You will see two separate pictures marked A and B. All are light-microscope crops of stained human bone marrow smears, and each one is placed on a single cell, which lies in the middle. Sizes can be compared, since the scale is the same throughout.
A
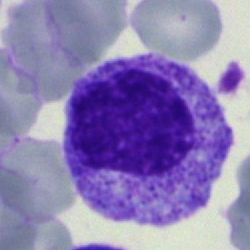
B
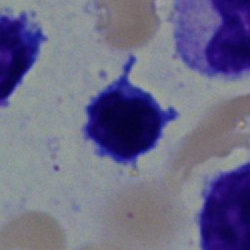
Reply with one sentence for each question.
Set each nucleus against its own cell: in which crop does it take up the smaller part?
In crop A the nucleus takes up the smaller part of its cell.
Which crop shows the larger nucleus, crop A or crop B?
Larger is the nucleus in crop A, at roughly 3 times the area of the other.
